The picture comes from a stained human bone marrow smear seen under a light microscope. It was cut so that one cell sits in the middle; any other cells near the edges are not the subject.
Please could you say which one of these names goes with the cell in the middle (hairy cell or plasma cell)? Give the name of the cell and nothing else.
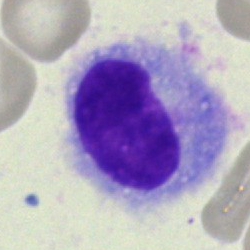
hairy cell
